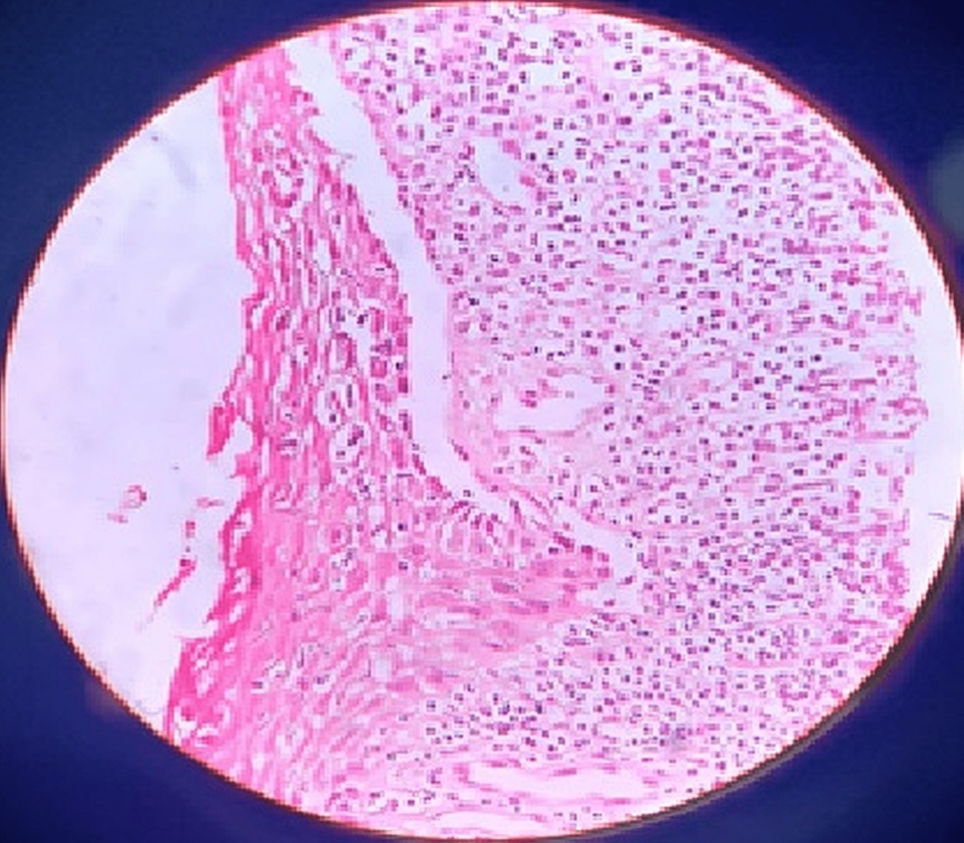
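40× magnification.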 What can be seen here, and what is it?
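The section shows a thin band of stratified squamous epithelium on the left over connective tissue heavily crowded with inflammatory cells. The epithelium stains deep pink, with flattened cells toward the surface and a few rows of rounder nucleated cells below. A pale cleft separates it from the underlying tissue, which is packed with small round cells with dark purple nuclei, lymphocytes, forming a dense band beneath the epithelium.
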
